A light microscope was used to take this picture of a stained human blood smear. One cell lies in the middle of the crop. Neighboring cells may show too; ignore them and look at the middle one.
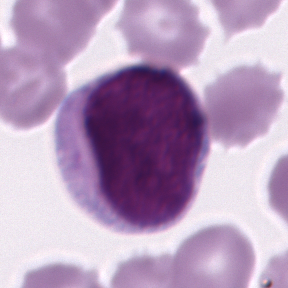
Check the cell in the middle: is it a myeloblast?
yes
